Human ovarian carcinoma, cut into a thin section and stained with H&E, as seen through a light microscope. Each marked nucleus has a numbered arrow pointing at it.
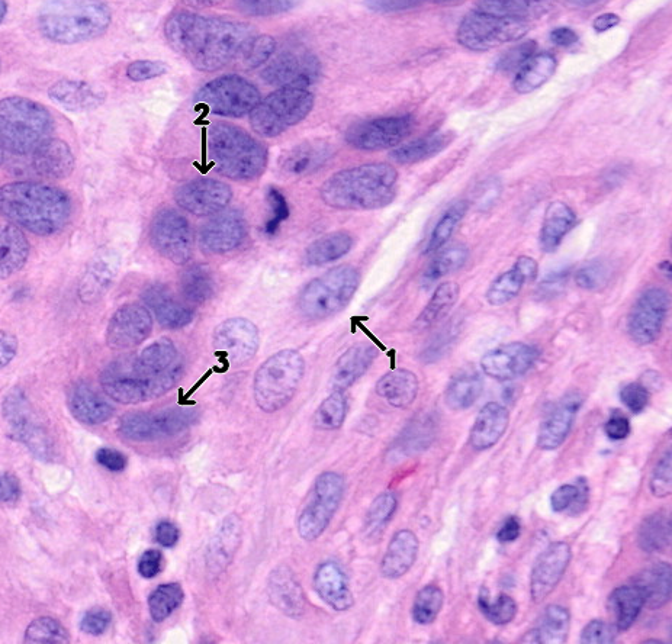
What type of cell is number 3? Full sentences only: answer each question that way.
The marked cell bearing number 3 is a carcinoma cell.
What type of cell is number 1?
Numbered cell 1 is a fibroblast in this tissue section.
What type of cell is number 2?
The nucleus with number 2 is that of a carcinoma cell.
